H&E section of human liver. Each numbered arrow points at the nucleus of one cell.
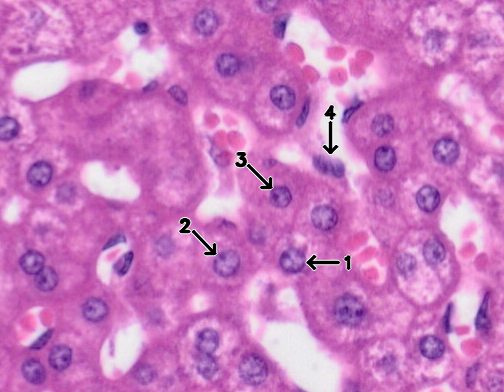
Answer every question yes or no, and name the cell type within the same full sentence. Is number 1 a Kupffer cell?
No, a hepatocyte, not a Kupffer cell, is the cell with number 1.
